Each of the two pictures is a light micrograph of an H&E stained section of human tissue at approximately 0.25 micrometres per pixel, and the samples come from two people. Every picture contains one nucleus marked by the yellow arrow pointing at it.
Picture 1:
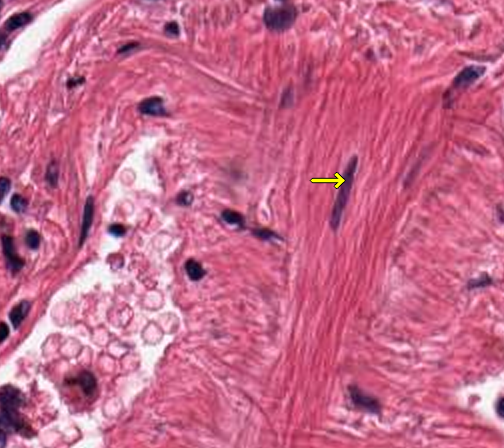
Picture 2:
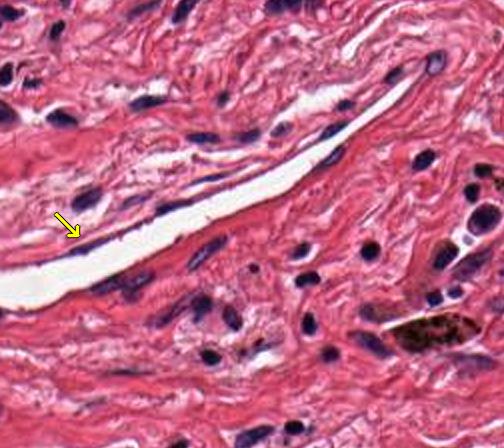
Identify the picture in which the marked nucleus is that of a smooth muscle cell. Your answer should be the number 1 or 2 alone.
1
